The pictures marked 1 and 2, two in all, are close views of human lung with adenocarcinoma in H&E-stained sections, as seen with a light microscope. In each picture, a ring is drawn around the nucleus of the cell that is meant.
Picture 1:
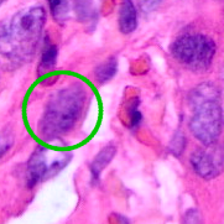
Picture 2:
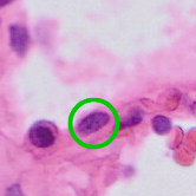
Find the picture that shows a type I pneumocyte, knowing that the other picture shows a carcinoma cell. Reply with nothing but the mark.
2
